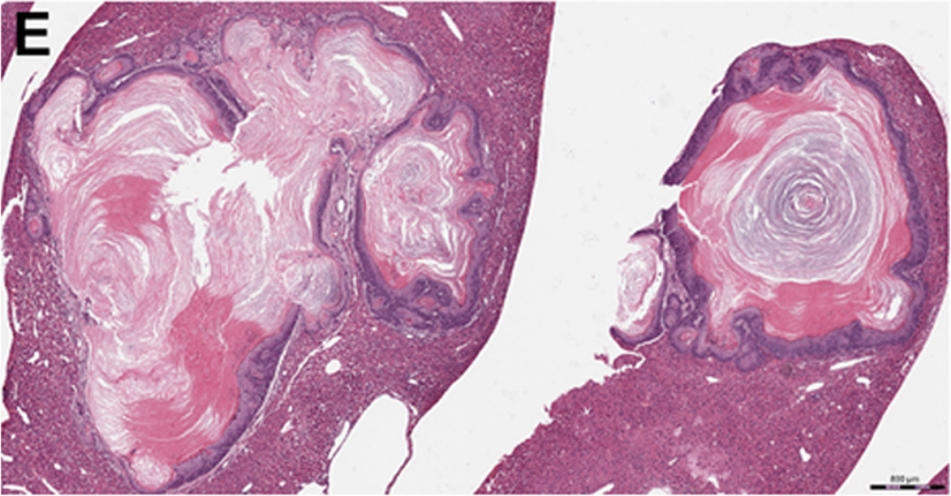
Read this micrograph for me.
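Liver tissue contains large nests of metastatic squamous carcinoma. Each nest is bordered by a thin, darker purple rim of epithelial cells with folded outline, enclosing a large mass of concentric, laminated keratin in pale pink and deeper pink. The surrounding liver parenchyma appears as densely packed pink-purple tissue with small vessels.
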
